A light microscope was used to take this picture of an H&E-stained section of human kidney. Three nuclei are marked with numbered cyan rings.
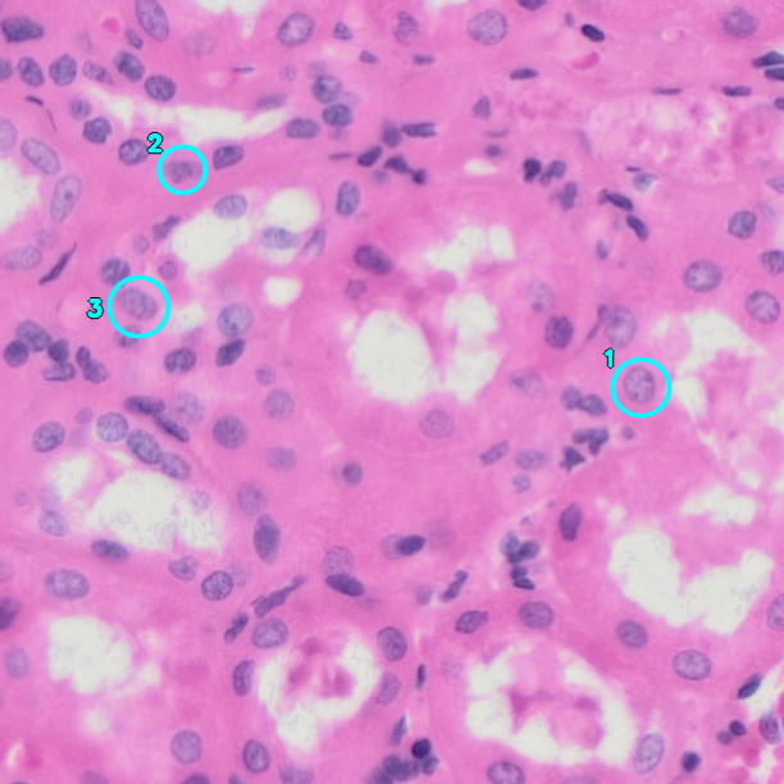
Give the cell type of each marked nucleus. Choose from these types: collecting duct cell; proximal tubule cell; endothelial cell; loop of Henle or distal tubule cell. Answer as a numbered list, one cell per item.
1. proximal tubule cell
2. collecting duct cell
3. collecting duct cell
